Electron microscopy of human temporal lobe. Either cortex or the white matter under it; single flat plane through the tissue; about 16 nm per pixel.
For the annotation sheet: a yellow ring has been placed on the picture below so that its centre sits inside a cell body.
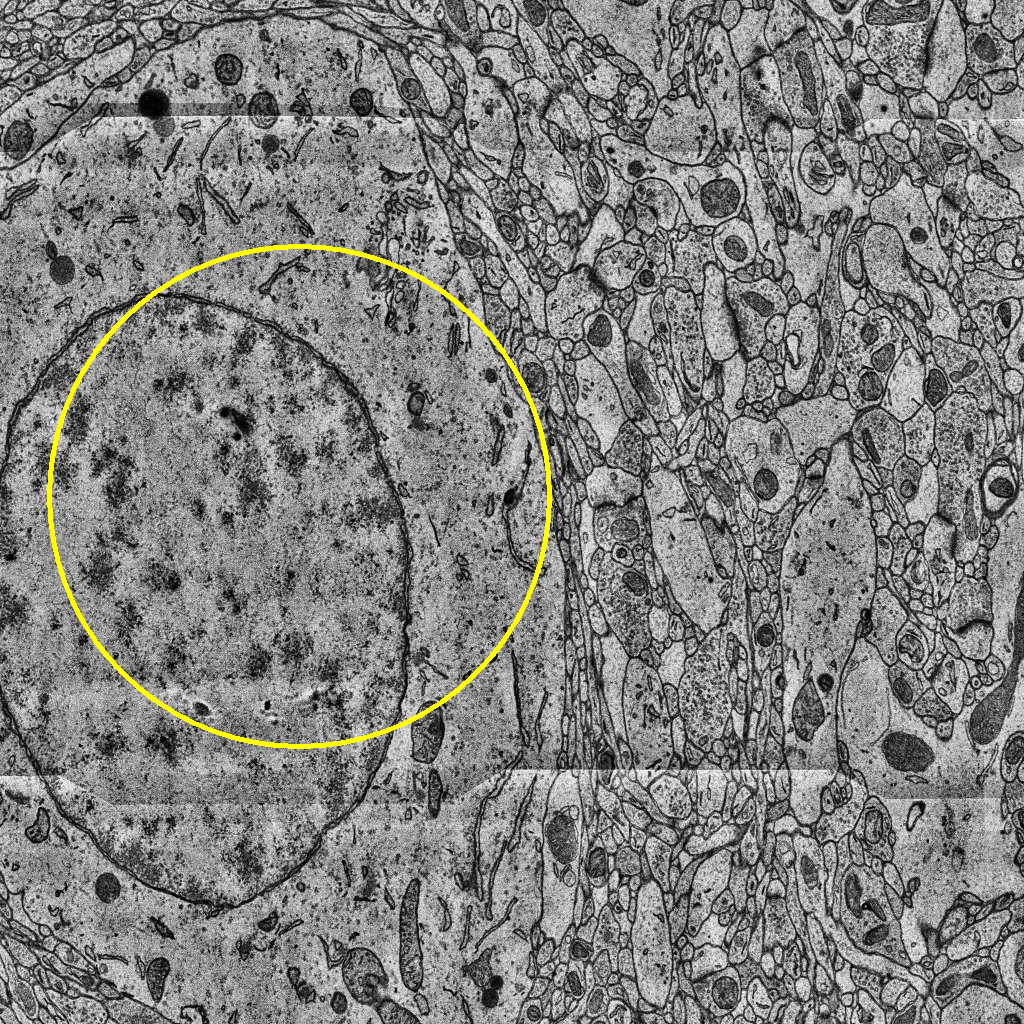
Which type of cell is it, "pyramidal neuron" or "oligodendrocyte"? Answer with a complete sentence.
The cell at the ring's centre is a pyramidal neuron.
